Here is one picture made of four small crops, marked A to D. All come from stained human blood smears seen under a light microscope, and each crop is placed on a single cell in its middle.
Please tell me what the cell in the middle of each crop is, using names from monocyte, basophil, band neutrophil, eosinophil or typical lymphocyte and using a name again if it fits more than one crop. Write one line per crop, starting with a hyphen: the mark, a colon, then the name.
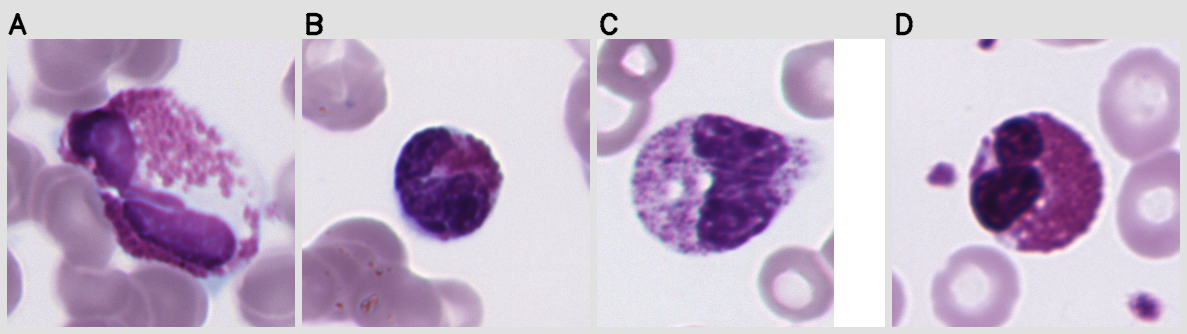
- A: eosinophil
- B: eosinophil
- C: band neutrophil
- D: eosinophil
